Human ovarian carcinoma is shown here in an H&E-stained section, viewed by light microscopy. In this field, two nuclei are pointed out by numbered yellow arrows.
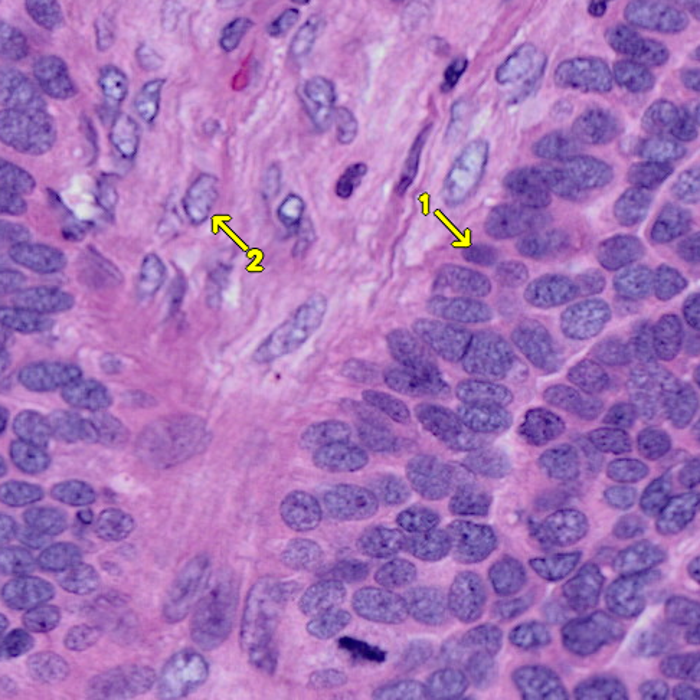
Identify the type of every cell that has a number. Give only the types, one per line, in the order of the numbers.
carcinoma cell
fibroblast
